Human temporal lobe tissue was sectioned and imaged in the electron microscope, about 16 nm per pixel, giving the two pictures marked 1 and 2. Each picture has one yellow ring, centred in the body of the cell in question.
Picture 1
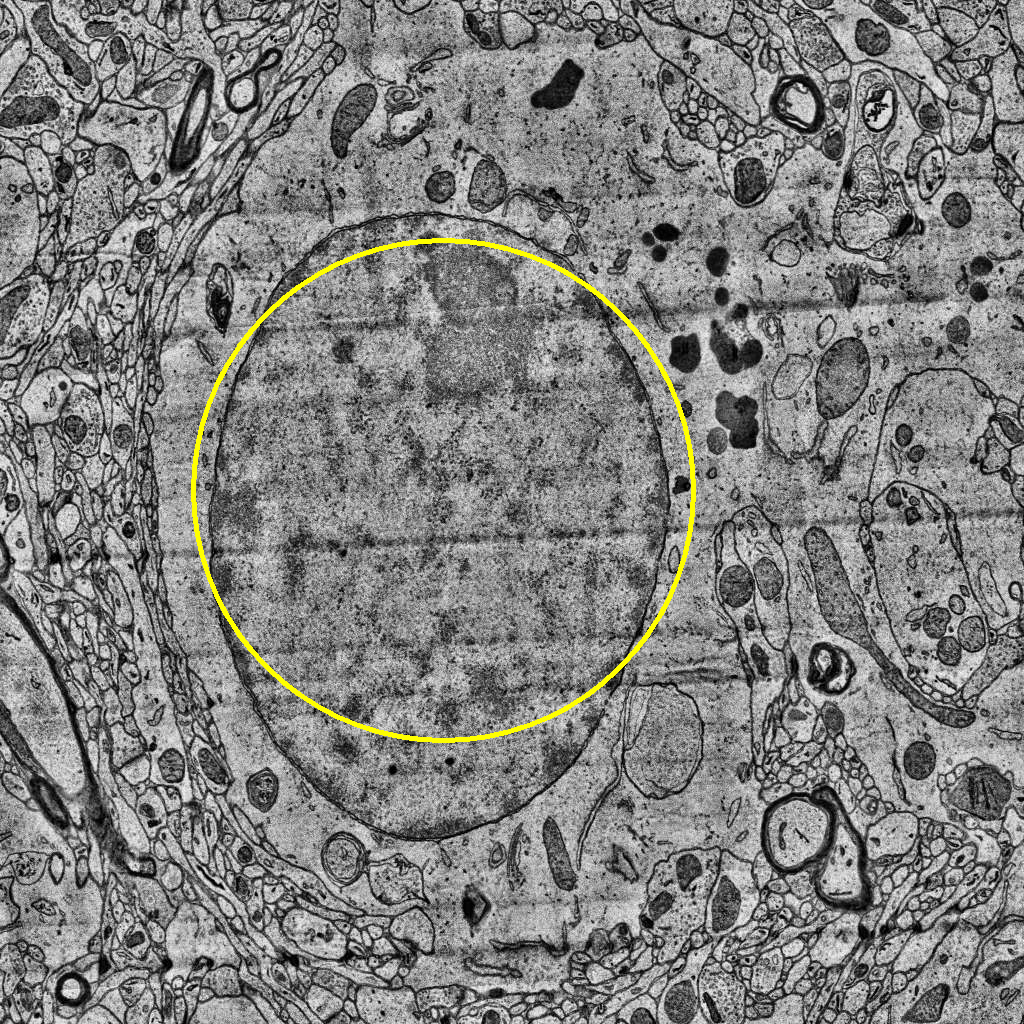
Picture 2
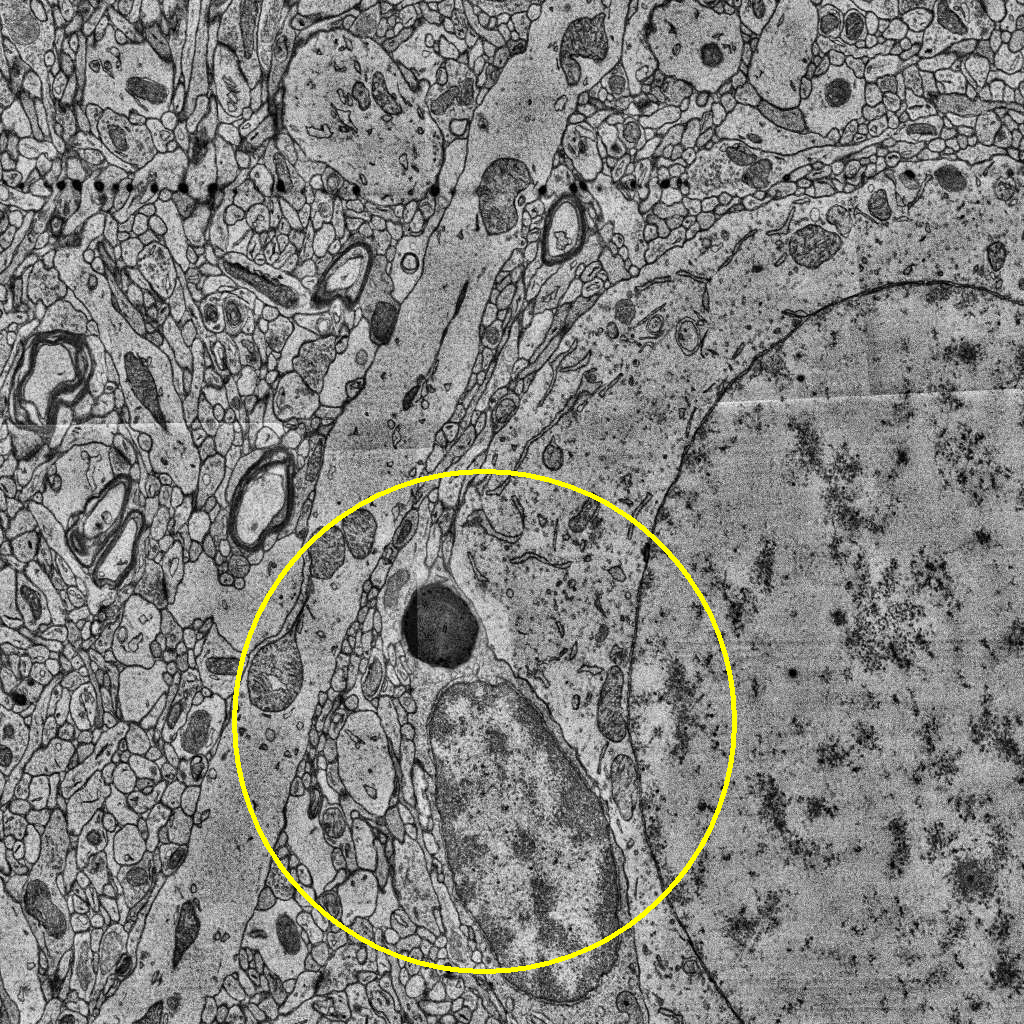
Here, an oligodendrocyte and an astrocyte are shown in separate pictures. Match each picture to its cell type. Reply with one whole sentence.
The cell in picture 1 is an astrocyte, and the one in picture 2 is an oligodendrocyte.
